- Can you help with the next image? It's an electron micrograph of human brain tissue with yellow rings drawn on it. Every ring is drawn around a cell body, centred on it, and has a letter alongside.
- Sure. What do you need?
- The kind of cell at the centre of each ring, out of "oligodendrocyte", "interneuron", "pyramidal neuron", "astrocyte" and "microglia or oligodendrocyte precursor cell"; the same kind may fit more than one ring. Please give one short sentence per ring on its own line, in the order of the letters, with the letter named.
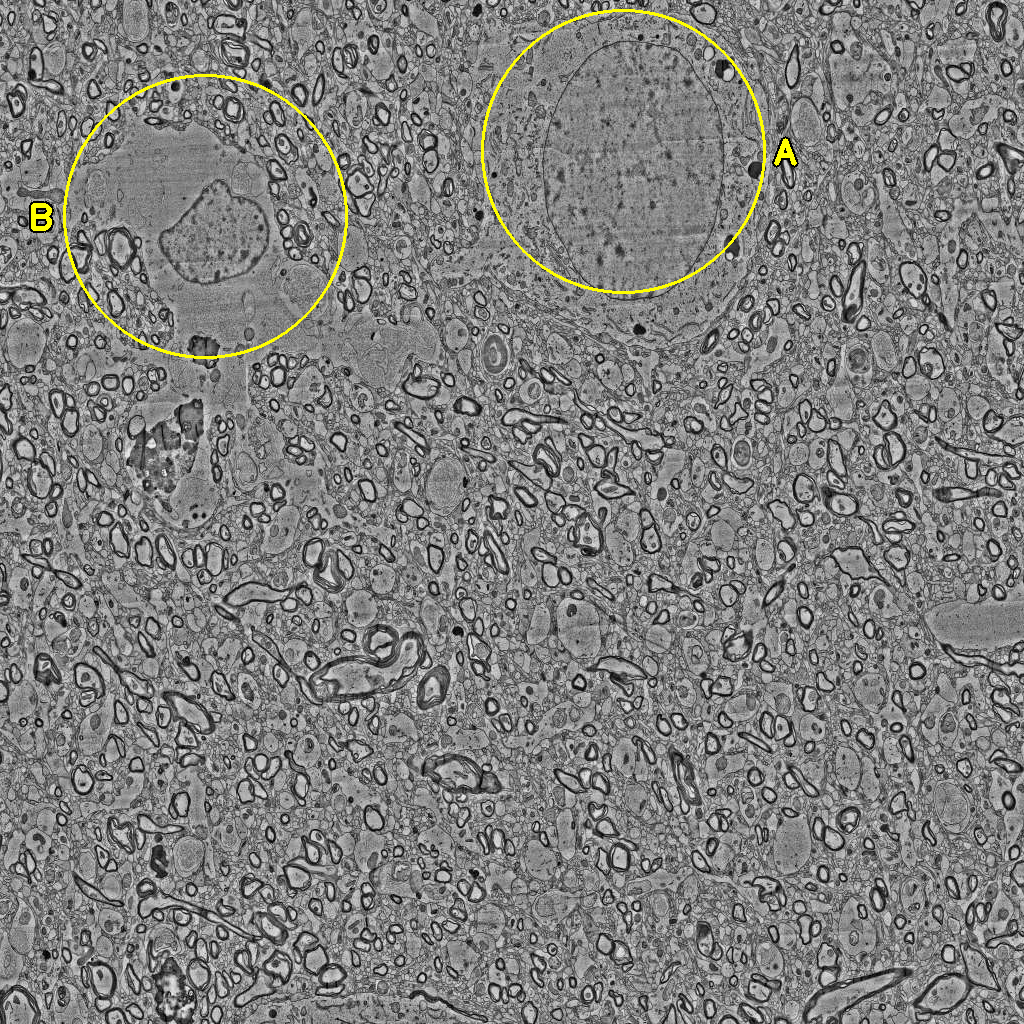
Ring A picks out a pyramidal neuron.
Ring B picks out an astrocyte.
